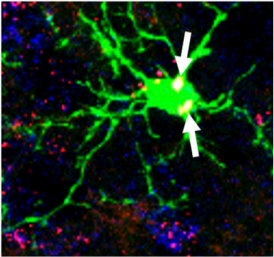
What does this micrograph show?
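Single ramified microglial cell at high magnification with a small green soma and many long, thin, branching processes. Two bright yellowish-white dots lie within the soma. Red and blue puncta are scattered in the surrounding tissue.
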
